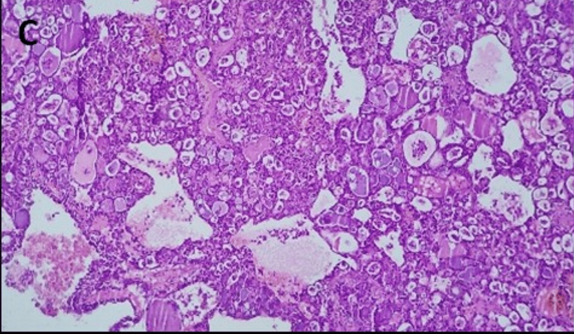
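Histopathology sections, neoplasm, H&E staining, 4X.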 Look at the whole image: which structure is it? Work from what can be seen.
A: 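Microcystic structures. Many small round spaces are scattered through a dense cellular tissue. Several of the small spaces hold pale or deep pink material.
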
